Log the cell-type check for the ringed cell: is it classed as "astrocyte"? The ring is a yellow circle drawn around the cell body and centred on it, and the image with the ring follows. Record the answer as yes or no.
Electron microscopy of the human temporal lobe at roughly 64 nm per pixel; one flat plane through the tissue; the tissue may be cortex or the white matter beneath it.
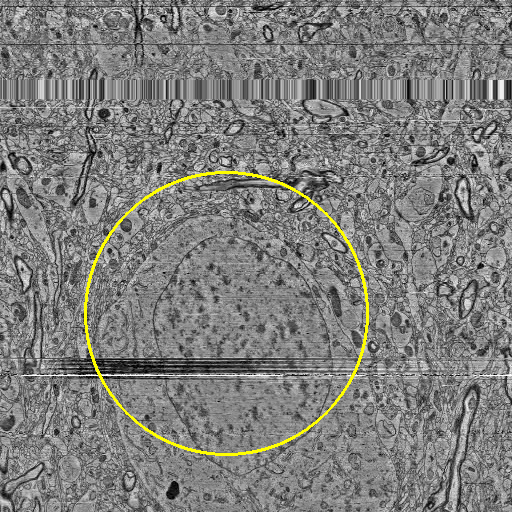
No, it is classed as another type.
